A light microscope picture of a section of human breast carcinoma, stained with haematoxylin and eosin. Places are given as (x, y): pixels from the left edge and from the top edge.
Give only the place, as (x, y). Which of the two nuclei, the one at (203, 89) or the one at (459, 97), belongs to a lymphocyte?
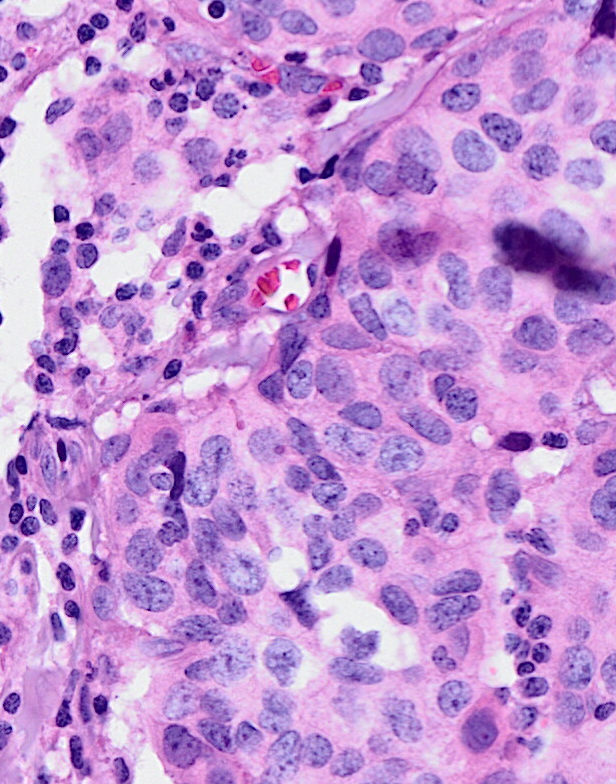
(203, 89)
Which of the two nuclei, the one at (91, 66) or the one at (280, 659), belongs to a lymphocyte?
(91, 66)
